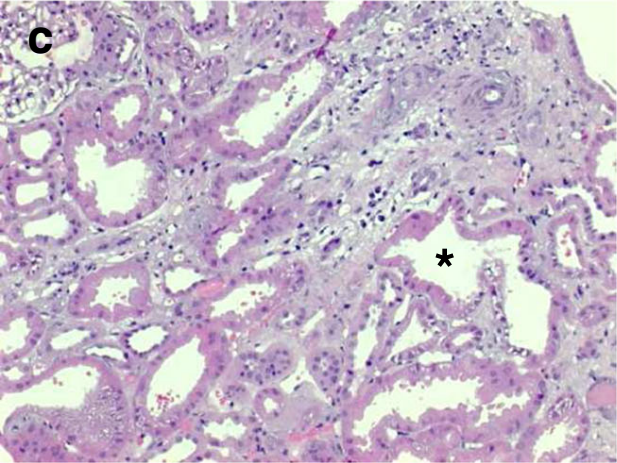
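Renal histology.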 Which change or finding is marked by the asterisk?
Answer: Cystic dilated tubuli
